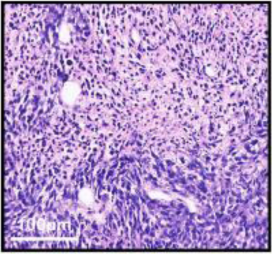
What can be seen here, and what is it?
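Tumor tissue with spindle-shaped cells set in abundant pink stroma. Nuclei are elongated and purple and lie farther apart than in a dense sheet, with more eosinophilic material between the cells. Scattered round clear spaces interrupt the tissue, and the cells run in loose streams.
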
